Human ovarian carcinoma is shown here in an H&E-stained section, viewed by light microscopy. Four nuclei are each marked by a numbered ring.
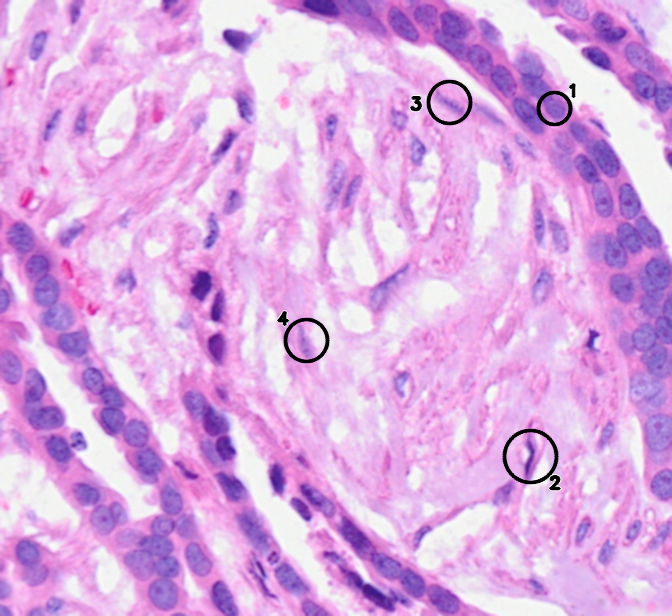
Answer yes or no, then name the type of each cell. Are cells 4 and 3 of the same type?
Yes, briefly put, cells 4 and 3 are both fibroblasts.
